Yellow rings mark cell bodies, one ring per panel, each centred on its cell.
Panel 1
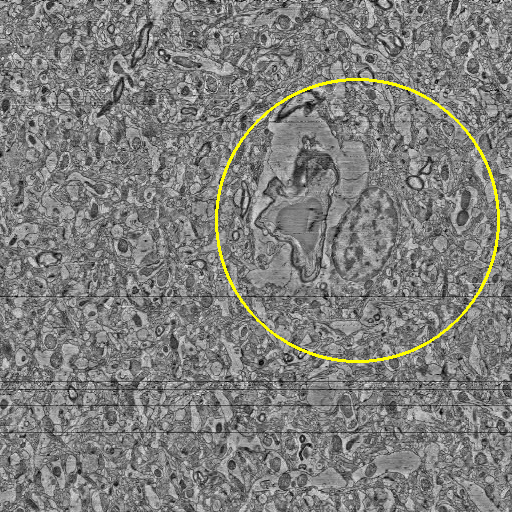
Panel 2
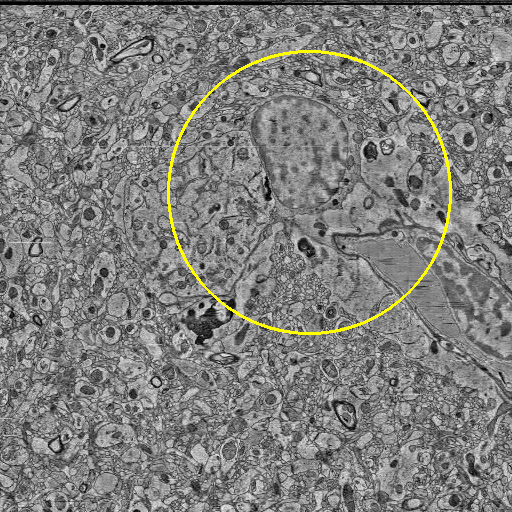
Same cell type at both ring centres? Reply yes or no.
yes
